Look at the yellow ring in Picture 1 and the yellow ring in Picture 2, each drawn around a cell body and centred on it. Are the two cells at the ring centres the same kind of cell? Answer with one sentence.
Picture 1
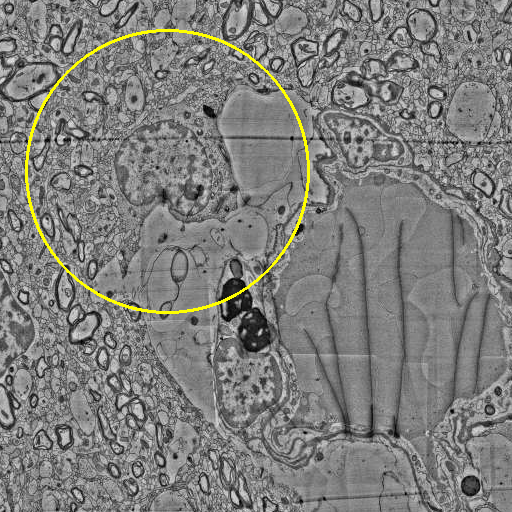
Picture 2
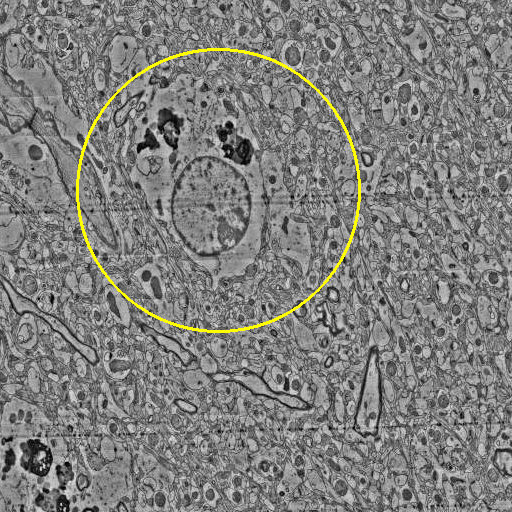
No, they are cells of two kinds.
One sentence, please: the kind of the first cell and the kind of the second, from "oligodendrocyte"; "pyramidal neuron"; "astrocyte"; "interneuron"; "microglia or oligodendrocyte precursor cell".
The ring in the first picture surrounds an oligodendrocyte, and the ring in the second surrounds an astrocyte.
